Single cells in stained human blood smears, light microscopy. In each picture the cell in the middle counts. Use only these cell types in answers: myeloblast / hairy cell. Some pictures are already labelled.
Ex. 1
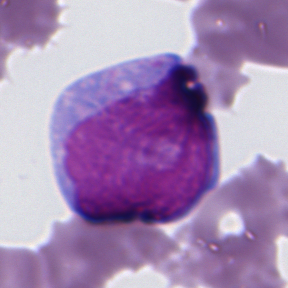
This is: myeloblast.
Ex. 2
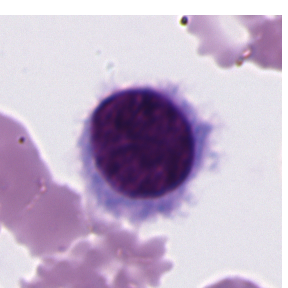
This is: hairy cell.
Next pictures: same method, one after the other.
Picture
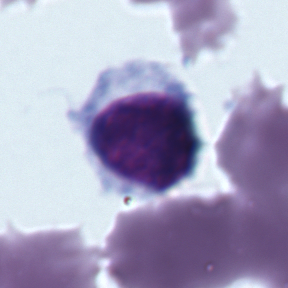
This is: hairy cell.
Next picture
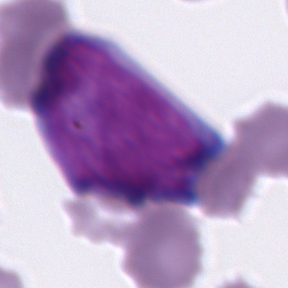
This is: myeloblast.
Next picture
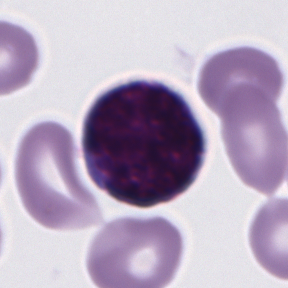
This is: myeloblast.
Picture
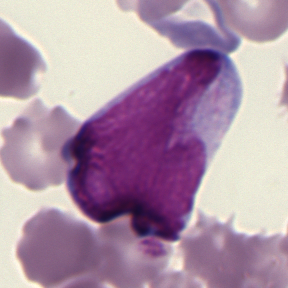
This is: myeloblast.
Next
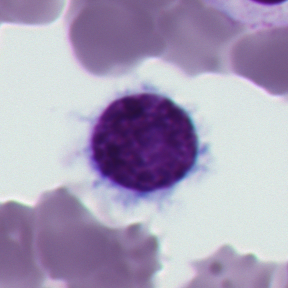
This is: hairy cell.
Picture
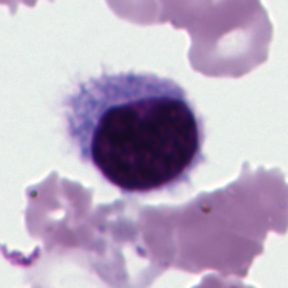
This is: hairy cell.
